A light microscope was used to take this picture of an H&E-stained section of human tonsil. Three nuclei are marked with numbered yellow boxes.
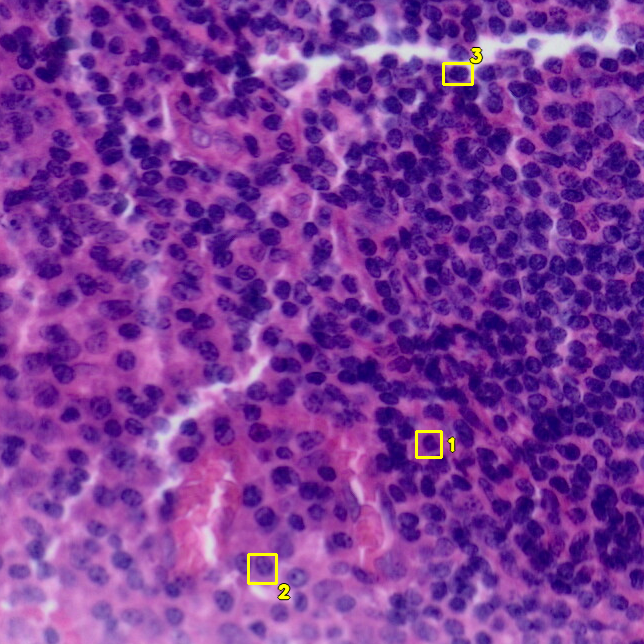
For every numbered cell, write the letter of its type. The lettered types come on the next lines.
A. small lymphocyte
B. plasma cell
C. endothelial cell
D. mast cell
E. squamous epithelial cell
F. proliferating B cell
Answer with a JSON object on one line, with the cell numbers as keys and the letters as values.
{"1": "B", "2": "B", "3": "A"}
